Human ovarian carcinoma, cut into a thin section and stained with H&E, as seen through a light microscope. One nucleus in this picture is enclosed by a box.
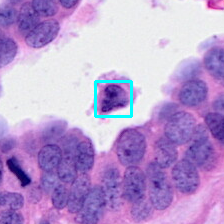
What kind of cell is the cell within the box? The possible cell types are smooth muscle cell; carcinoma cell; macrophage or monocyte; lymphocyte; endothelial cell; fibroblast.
macrophage or monocyte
